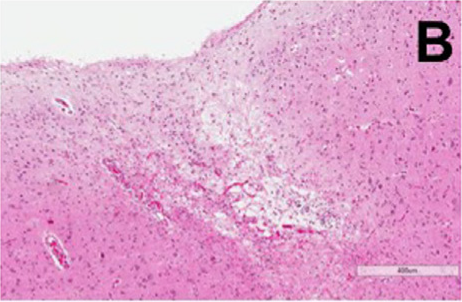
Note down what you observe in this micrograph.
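This low-power view of cerebral cortex shows a small cortical microinfarct just beneath the cortical surface. A small, wedge-like pale area sits close to this surface. In it the tissue is loose and vacuolated, with thin red vessels and a cluster of small dark nuclei. The surrounding cortex is evenly pink and holds scattered nuclei. A few cross-cut vessels are seen on the left. The lesion is small and localized within otherwise intact cortex.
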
